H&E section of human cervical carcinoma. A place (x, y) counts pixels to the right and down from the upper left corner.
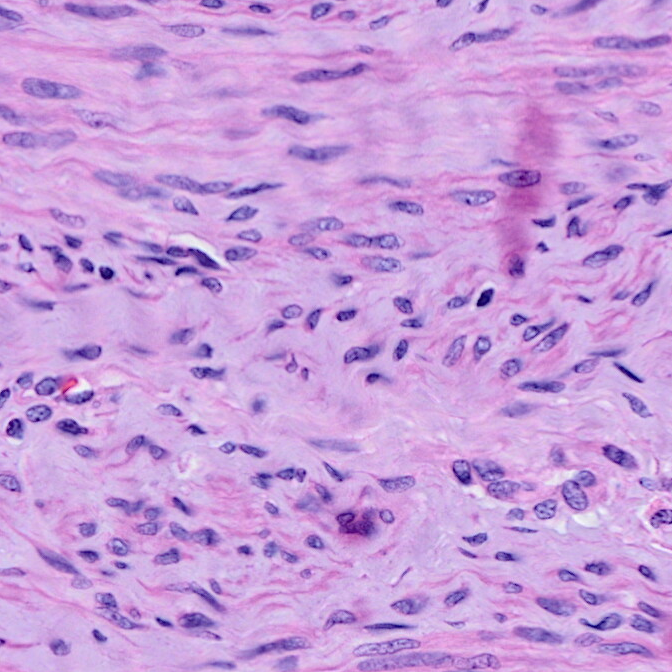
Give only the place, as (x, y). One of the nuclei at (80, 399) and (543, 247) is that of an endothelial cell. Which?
(80, 399)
